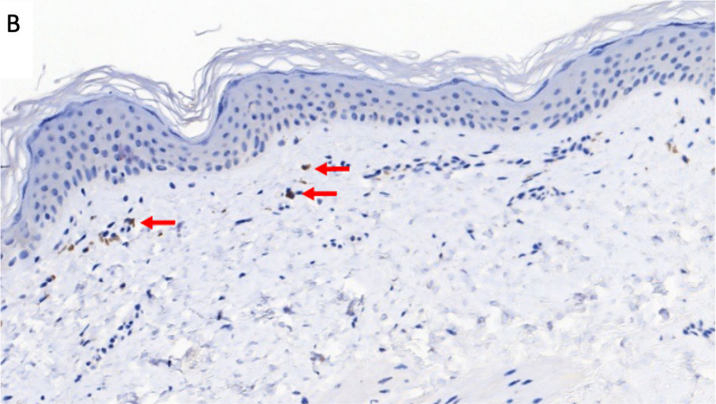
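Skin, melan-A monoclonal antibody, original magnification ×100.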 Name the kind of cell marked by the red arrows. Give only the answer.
dermal melanophages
